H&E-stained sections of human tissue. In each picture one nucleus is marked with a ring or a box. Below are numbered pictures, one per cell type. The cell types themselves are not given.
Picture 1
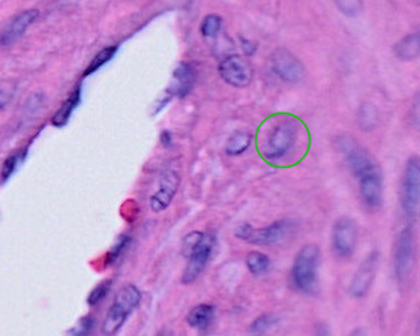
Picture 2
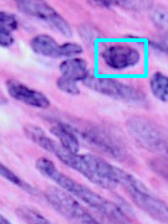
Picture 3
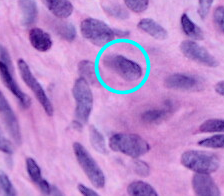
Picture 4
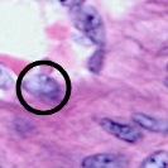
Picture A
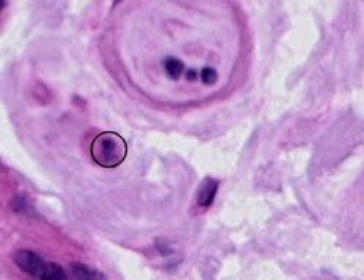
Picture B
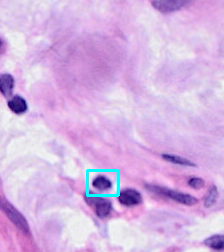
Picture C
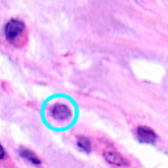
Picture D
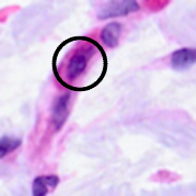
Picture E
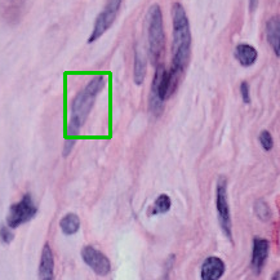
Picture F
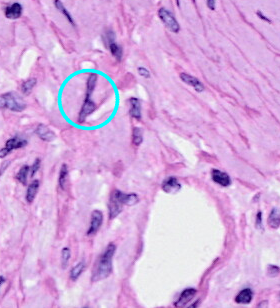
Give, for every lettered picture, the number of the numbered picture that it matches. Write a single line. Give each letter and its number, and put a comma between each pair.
A 1, B 2, C 2, D 4, E 1, F 3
